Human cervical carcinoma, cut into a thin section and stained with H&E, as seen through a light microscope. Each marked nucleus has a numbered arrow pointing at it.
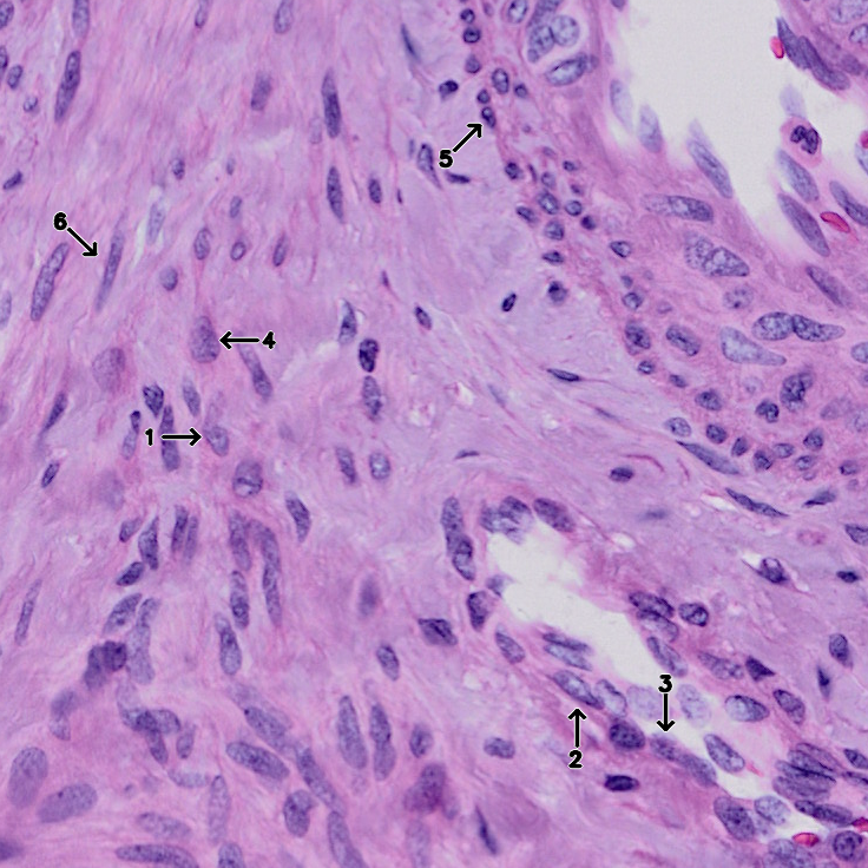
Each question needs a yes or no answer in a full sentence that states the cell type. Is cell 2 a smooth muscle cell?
No, cell 2 should be classed as an endothelial cell, not as a smooth muscle cell.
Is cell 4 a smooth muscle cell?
Yes, the marked cell numbered 4 is a smooth muscle cell.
